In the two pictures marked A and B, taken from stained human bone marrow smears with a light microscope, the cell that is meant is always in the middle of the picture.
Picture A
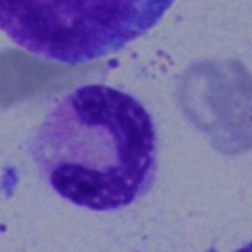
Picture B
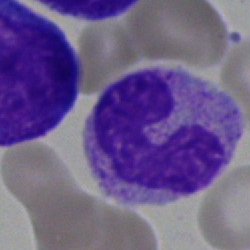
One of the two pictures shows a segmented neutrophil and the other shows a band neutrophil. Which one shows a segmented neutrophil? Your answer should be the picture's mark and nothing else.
A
